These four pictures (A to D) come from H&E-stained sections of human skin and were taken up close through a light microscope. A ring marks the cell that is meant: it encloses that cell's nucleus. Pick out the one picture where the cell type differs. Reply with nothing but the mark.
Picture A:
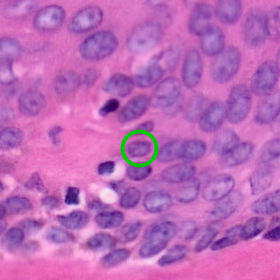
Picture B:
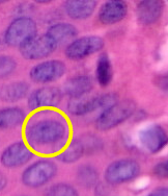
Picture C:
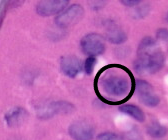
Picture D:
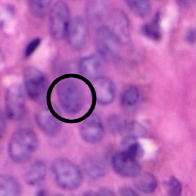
B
